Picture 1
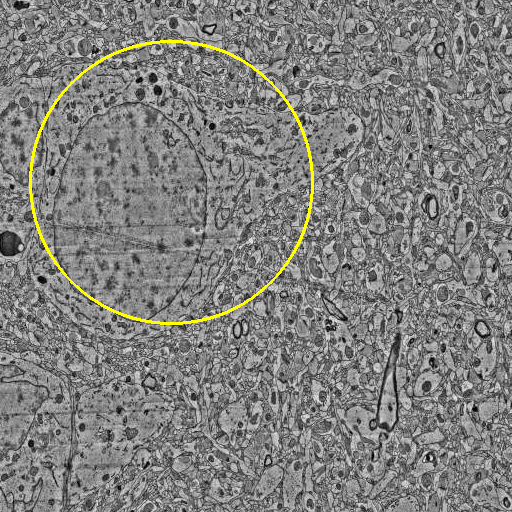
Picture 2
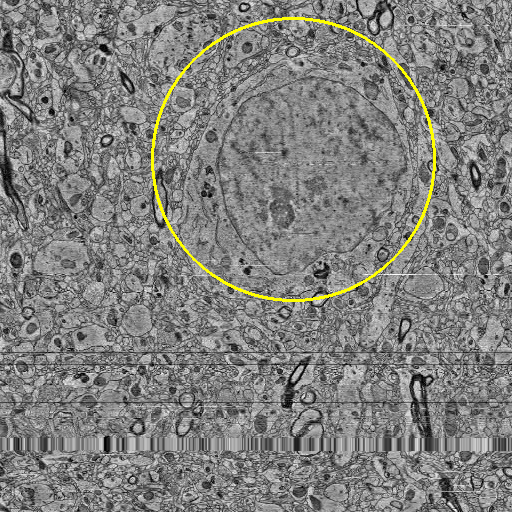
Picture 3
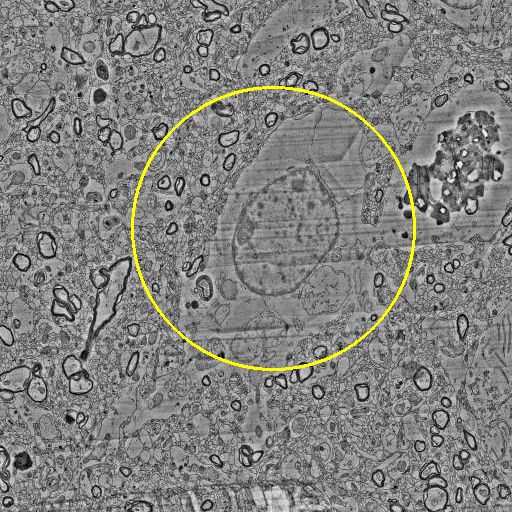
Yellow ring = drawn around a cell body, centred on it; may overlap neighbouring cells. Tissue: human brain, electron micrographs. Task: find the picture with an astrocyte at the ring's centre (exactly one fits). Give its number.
3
